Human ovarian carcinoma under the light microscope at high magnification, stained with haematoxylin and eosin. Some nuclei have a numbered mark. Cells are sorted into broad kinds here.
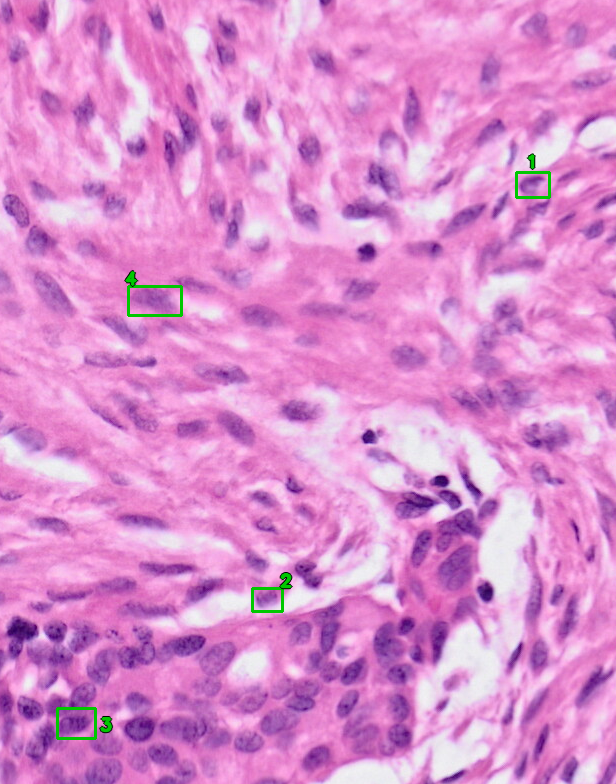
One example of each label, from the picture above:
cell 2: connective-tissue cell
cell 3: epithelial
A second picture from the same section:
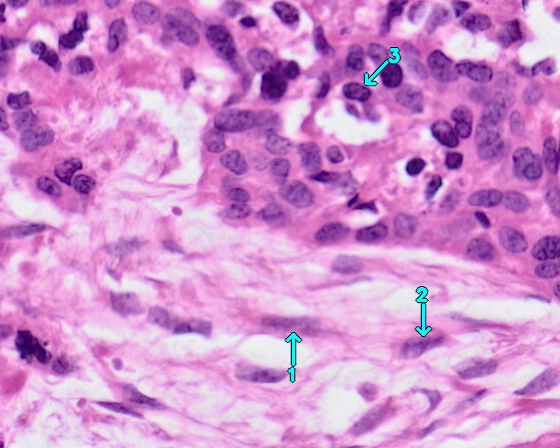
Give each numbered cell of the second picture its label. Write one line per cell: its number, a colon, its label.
1: connective-tissue cell
2: connective-tissue cell
3: epithelial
